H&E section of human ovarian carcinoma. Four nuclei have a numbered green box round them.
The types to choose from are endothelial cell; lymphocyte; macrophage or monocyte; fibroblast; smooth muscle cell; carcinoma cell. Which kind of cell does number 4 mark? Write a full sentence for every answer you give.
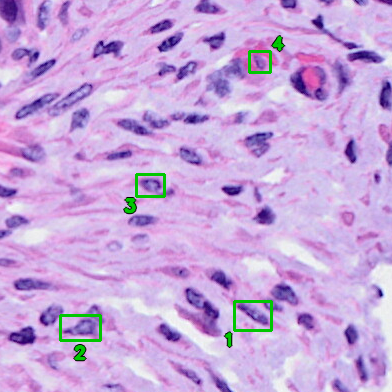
The cell indicated with the number 4 is classed as an endothelial cell.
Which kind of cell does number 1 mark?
The cell with the number 1 is a fibroblast.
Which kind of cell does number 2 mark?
The marked nucleus 2 is that of a fibroblast.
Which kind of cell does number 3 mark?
The expected answer is that cell 3 is a fibroblast.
